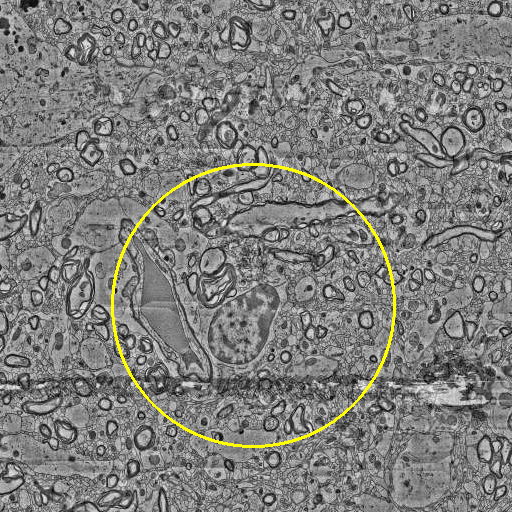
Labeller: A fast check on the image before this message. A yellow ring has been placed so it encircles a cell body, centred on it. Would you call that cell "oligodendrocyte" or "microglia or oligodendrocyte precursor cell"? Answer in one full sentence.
In this image, a microglial cell or oligodendrocyte precursor cell is the cell on which the yellow ring is centred.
